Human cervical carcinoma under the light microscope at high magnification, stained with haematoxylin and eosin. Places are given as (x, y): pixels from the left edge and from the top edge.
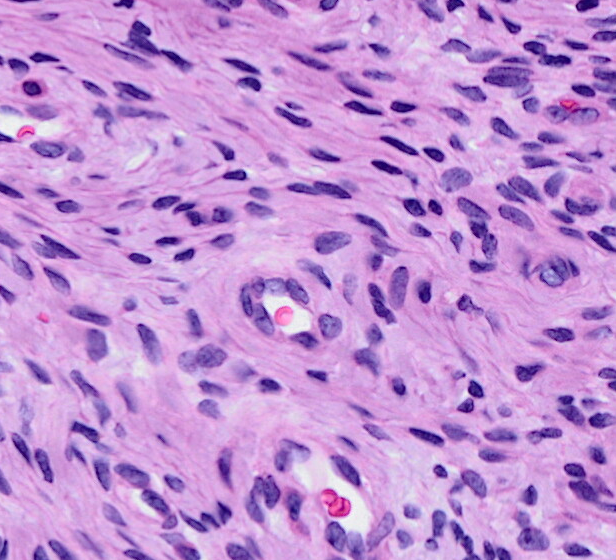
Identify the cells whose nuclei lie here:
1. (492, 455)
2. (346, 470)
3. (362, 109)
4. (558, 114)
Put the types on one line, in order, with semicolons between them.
fibroblast; endothelial cell; fibroblast; endothelial cell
